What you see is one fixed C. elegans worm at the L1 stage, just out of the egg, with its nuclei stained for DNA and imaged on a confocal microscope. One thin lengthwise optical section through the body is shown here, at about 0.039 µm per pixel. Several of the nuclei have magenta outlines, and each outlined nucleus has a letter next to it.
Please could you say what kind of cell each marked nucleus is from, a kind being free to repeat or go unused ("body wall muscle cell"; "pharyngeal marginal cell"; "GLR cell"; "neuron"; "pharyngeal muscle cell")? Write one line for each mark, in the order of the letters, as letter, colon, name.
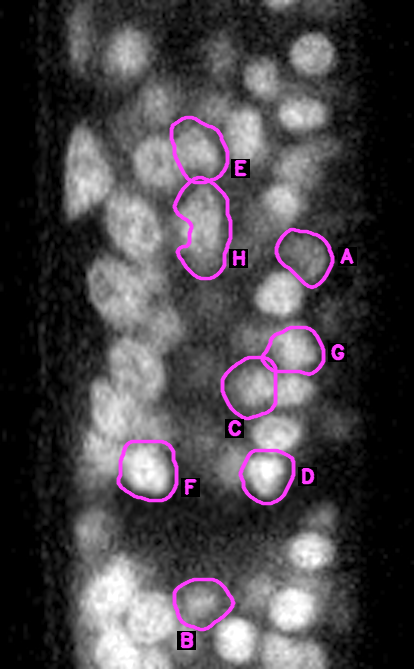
A: body wall muscle cell
B: neuron
C: neuron
D: GLR cell
E: pharyngeal muscle cell
F: GLR cell
G: neuron
H: pharyngeal marginal cell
